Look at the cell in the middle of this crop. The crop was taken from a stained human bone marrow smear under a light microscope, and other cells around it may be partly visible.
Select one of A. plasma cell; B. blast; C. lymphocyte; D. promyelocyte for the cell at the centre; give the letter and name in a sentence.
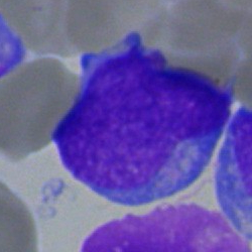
Located in the middle of the crop is a blast, and option B is therefore correct.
